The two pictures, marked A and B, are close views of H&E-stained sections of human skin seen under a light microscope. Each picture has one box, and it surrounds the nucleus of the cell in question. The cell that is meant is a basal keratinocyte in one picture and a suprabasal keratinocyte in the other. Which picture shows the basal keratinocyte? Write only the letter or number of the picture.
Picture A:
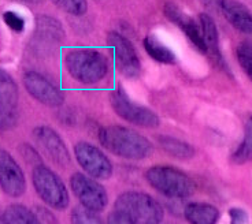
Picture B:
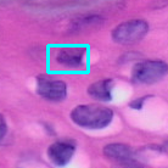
A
